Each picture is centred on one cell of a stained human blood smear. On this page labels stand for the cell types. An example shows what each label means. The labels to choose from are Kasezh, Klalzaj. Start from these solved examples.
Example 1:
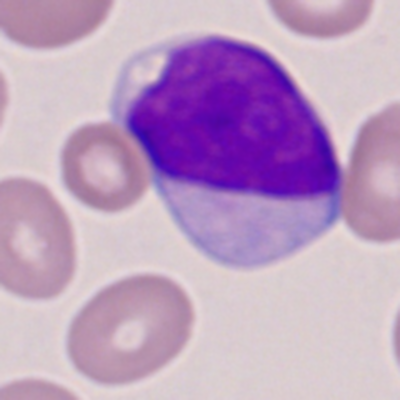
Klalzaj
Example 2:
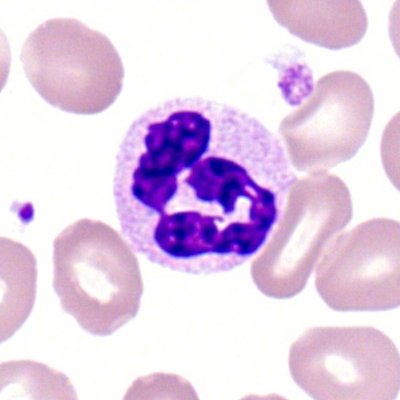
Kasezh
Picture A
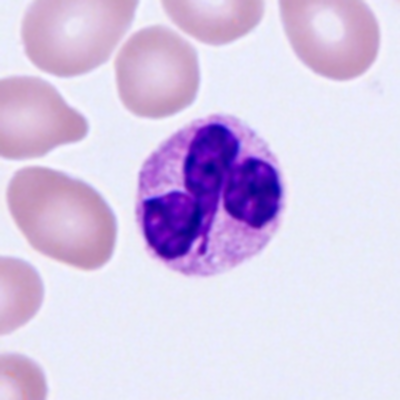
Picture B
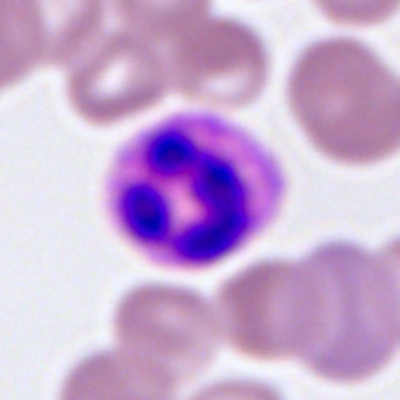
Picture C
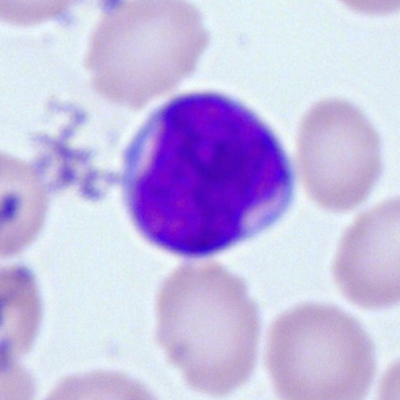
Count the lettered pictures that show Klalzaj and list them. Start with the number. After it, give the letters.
1: C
